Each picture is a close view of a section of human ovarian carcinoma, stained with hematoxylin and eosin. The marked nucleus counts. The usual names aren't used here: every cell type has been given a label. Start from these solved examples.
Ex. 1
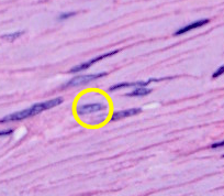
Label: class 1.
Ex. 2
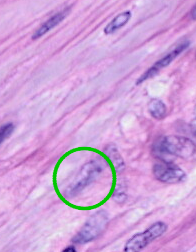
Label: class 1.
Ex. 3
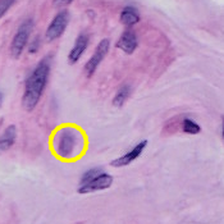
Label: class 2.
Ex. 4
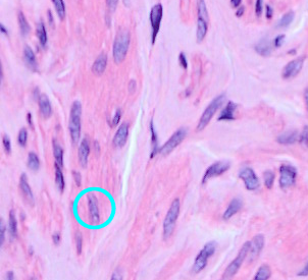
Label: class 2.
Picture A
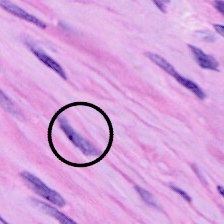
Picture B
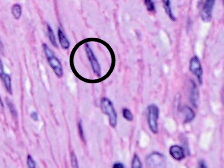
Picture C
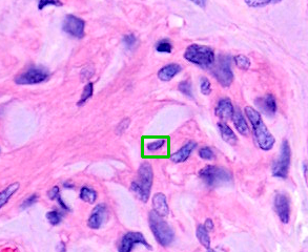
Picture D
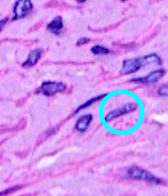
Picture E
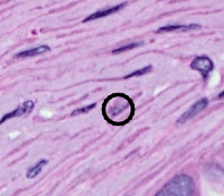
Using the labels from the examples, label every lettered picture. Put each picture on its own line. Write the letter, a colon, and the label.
A: class 2.
B: class 1.
C: class 2.
D: class 1.
E: class 1.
